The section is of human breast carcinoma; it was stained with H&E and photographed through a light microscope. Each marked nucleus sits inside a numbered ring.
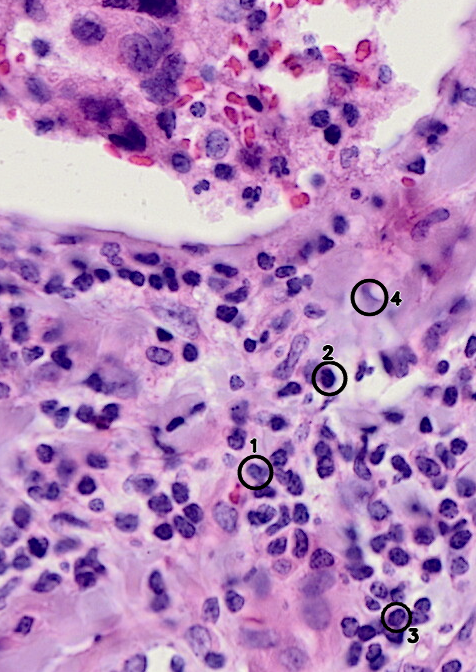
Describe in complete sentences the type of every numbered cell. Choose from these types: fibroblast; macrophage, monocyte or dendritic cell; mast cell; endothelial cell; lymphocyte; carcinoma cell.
Cell 1 is a lymphocyte, cell 2 is a lymphocyte, cell 3 is a lymphocyte and cell 4 is a fibroblast.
